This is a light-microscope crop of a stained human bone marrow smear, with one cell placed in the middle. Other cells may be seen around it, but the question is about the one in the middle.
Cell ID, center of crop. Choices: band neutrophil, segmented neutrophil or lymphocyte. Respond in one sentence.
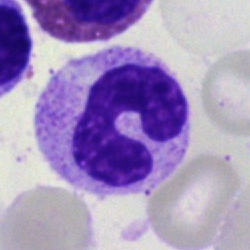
The target cell in the middle of the crop is a band neutrophil.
